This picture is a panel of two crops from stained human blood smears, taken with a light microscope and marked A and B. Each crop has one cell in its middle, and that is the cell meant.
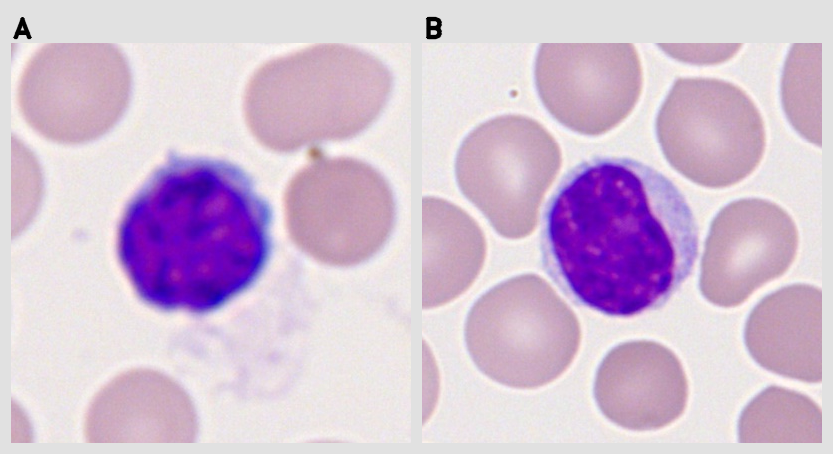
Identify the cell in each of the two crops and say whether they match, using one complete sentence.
Yes, as shown in both crops, the central cells are lymphocytes.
